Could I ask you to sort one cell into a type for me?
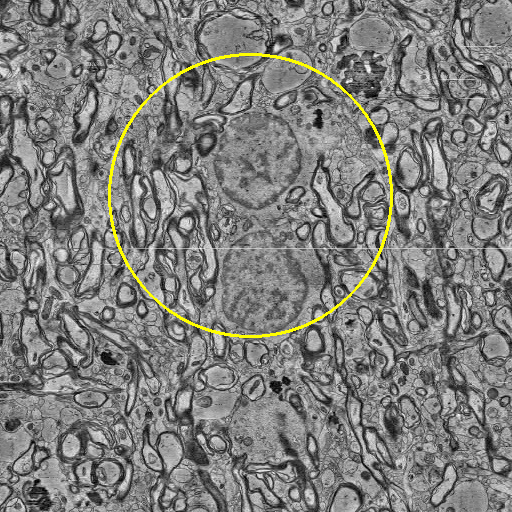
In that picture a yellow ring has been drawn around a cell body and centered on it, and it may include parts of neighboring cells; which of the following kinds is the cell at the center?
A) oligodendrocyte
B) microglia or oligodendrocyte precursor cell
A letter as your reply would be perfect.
A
